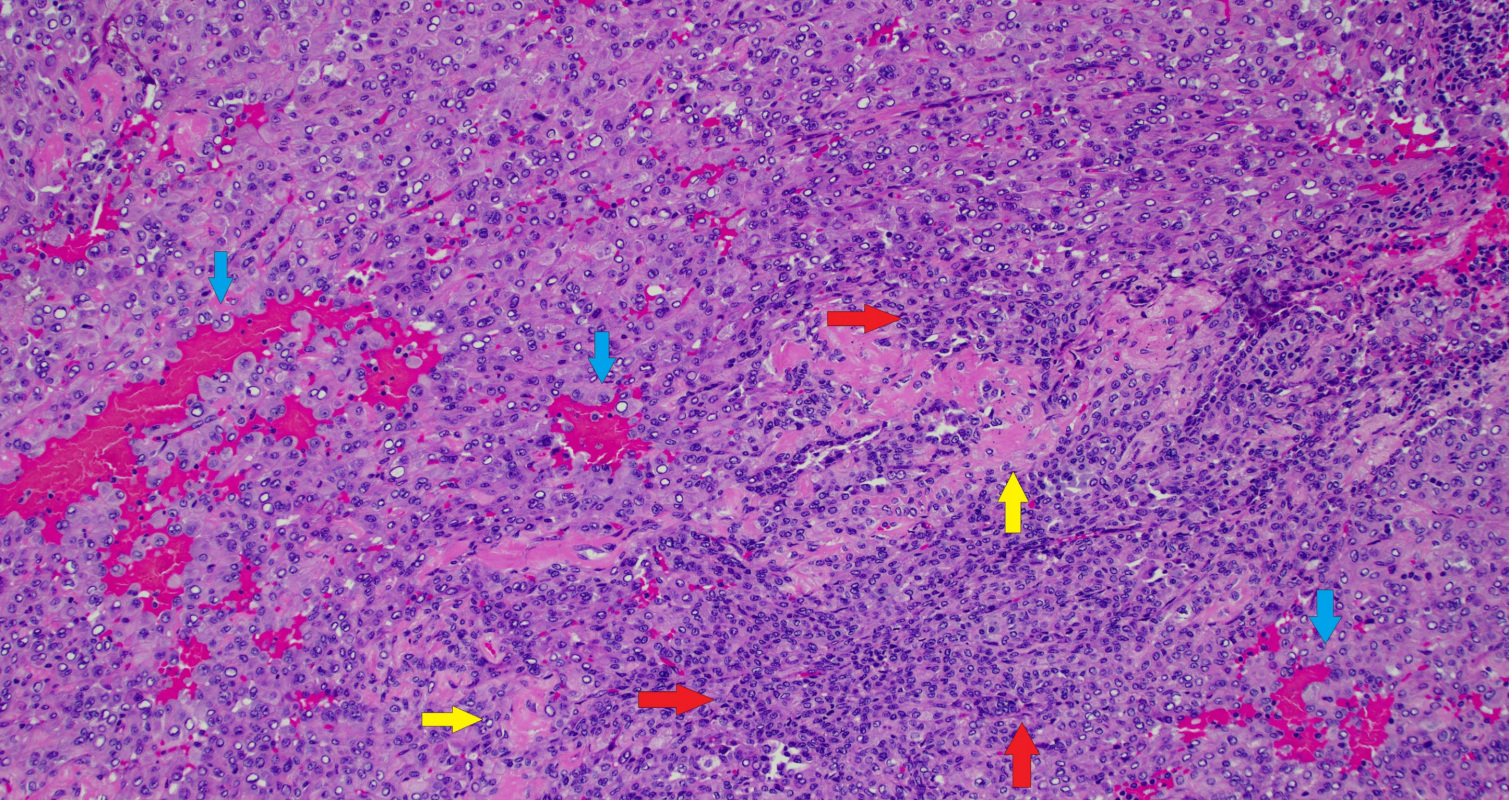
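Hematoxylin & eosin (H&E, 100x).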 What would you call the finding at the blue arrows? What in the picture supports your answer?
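Focal hemorrhagic areas. The red pools are irregular and lie between sheets of cells.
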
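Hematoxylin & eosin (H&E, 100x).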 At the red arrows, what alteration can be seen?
Solid growth.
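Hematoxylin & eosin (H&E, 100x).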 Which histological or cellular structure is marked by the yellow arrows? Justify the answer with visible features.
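The yellow arrows point to pale pink, glassy, cell-poor bands of stroma. Scattered small cells lie within these pale pink bands.
Sclerotic zones.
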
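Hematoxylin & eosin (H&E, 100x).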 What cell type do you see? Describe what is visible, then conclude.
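Many cells are large and polygonal. These cells have abundant pink cytoplasm. Their nuclei are round and central. On this evidence: epithelioid cells.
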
